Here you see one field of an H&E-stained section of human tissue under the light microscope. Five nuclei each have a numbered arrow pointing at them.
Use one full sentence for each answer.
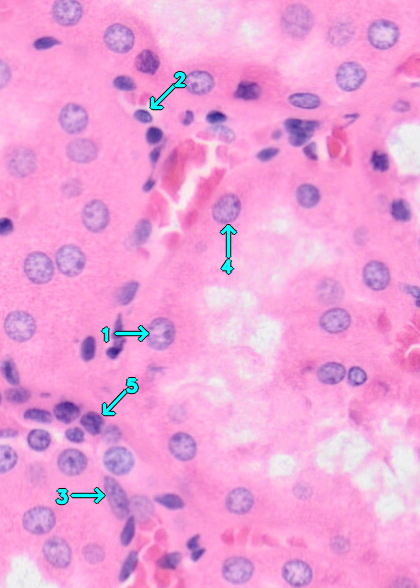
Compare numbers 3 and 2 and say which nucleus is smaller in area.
With nucleus 3 about 2.5 times its size, nucleus 2 is the smaller of the two.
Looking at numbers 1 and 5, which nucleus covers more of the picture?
Of the two, number 1 is bigger and takes up about 1.5 times the area of number 5.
